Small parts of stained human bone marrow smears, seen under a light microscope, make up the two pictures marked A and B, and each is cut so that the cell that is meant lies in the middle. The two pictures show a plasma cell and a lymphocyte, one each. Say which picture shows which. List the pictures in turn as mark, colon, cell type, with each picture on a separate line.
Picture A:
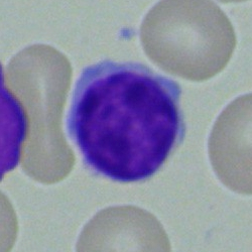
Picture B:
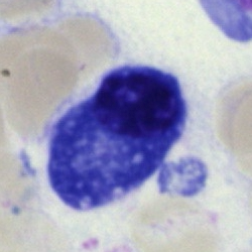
A: lymphocyte
B: plasma cell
